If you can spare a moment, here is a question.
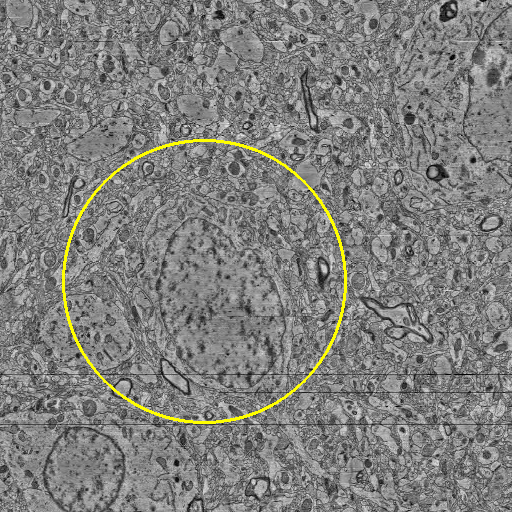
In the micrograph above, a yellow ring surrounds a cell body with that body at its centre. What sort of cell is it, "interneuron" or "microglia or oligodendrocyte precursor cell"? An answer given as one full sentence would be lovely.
Centred inside the yellow ring, the cell body shown belongs to an interneuron in this micrograph.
